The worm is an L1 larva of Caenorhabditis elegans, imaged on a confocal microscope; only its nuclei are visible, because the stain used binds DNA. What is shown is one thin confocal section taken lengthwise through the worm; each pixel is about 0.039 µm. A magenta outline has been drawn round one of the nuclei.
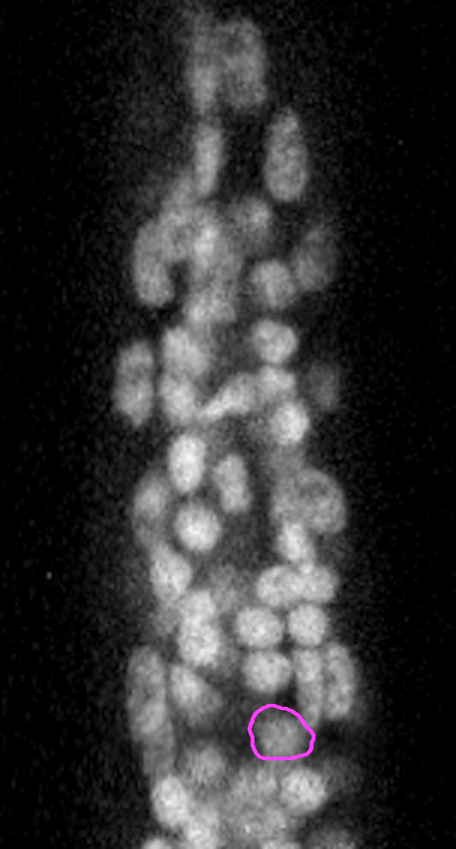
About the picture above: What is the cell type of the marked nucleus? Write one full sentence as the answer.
The nucleus comes from a neuron.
